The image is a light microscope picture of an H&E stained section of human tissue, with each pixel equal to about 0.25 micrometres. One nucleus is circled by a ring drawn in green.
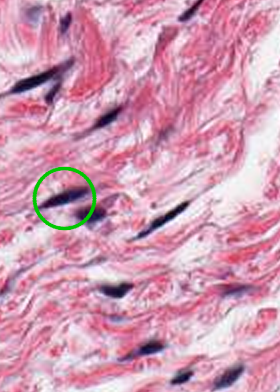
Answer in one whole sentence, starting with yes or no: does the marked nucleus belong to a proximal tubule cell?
No, the marked nucleus is not housed in a proximal tubule cell but in a supporting cell.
